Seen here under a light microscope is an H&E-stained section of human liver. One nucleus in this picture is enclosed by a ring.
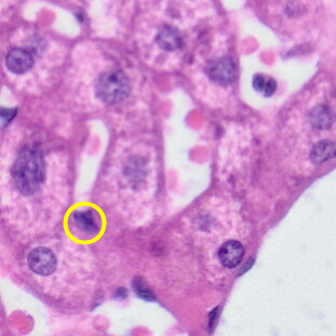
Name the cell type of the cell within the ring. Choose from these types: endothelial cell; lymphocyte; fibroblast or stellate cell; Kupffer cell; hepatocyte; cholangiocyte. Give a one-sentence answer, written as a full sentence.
In terms of identity, the cell within the ring is an endothelial cell.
